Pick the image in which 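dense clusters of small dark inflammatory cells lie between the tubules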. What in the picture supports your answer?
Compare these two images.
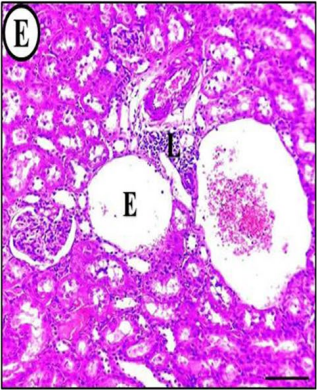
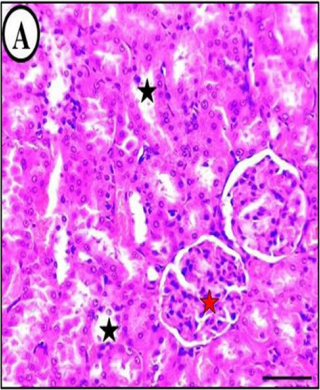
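First image: a dense focus of small dark round nuclei sits in the interstitium beside a vessel. Second image: tubules lie closely packed with no clusters of small dark cells between them.
Answer: the first image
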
